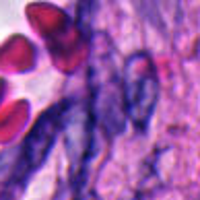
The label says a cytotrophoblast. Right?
Wrong: this is a vascular myocyte.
